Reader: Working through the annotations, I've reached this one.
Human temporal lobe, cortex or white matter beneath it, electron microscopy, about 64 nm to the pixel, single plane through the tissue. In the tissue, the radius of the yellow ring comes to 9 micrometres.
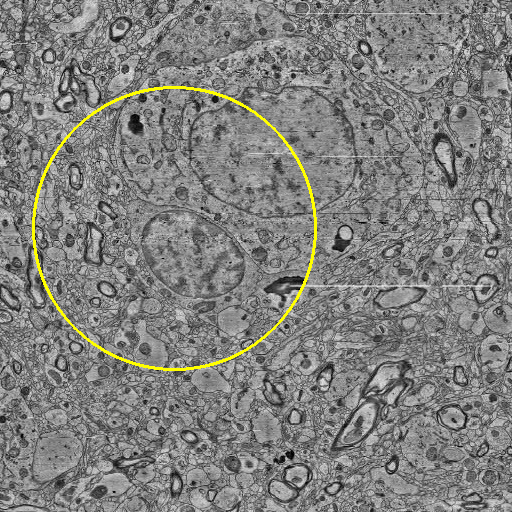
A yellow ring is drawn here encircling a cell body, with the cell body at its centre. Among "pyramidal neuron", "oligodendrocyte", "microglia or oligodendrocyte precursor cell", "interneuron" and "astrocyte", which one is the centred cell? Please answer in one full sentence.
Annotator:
The cell body at the centre of the yellow ring in this image belongs to an oligodendrocyte.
